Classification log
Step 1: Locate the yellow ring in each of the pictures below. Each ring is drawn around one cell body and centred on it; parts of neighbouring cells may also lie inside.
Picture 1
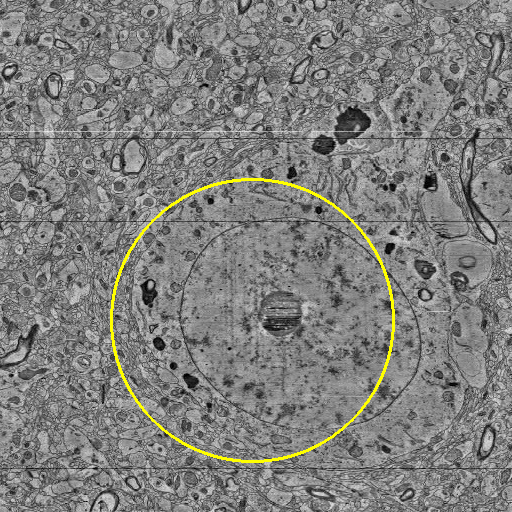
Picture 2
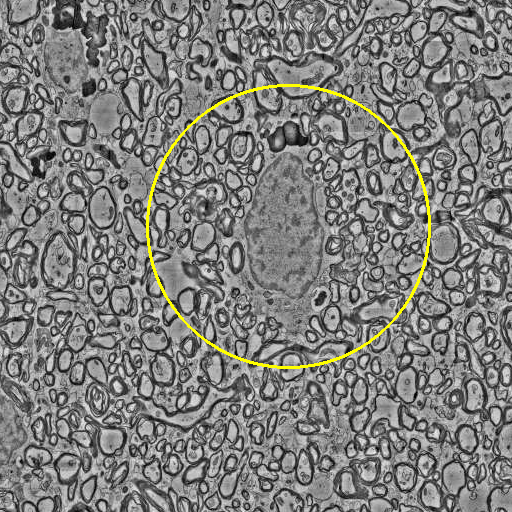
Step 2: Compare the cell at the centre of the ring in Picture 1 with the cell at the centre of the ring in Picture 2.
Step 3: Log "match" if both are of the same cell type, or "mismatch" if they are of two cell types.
mismatch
